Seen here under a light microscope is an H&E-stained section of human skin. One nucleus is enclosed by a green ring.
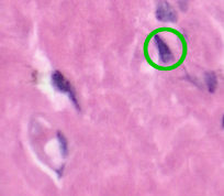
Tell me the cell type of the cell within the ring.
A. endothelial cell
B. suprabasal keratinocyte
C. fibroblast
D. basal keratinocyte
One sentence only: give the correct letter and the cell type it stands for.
In short, option C: the cell within the ring is a fibroblast.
